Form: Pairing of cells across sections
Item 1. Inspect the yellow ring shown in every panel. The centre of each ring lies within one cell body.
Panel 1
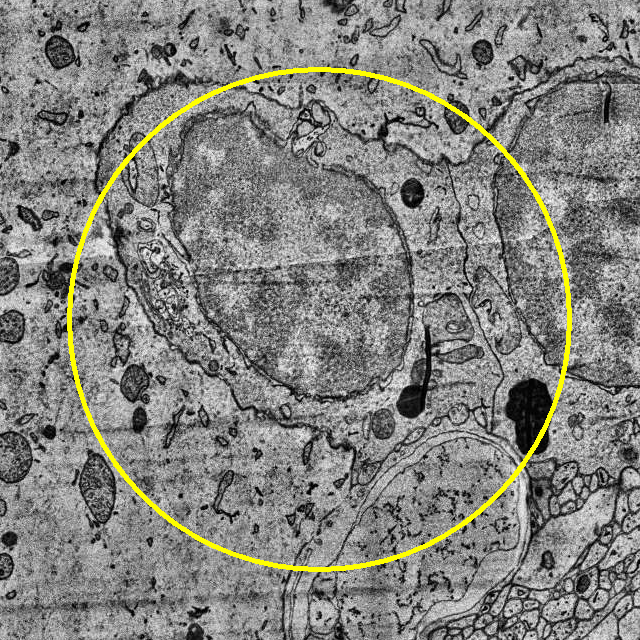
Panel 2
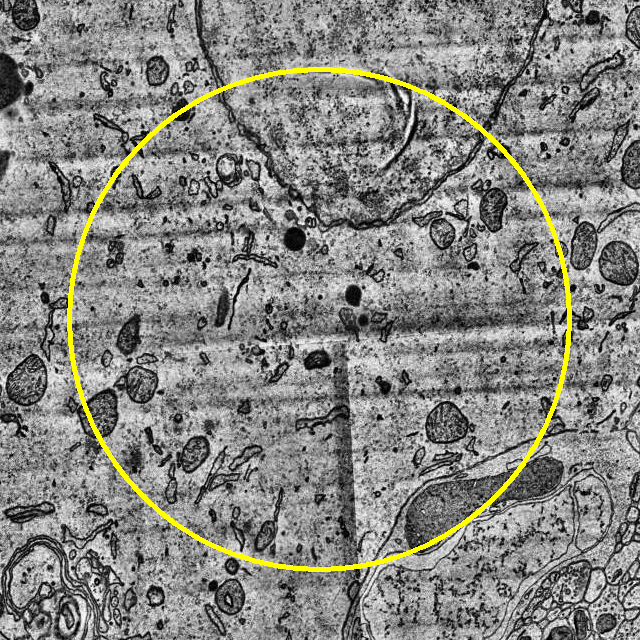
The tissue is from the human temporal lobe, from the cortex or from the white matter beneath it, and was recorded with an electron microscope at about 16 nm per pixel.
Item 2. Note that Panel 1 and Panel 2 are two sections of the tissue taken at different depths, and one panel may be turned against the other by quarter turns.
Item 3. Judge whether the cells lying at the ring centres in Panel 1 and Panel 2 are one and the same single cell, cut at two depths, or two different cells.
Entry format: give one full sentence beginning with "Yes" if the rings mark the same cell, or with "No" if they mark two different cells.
Yes, these two rings point to one cell rather than two.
